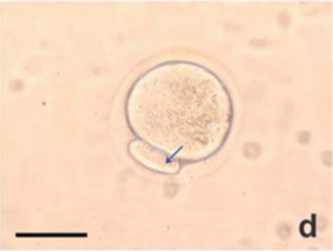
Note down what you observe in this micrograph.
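A large round oocyte with finely granular cytoplasm lies within a clear zona pellucida. A small oval first polar body sits at its lower edge, between the oocyte surface and the zona, and small cells are scattered in the background.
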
